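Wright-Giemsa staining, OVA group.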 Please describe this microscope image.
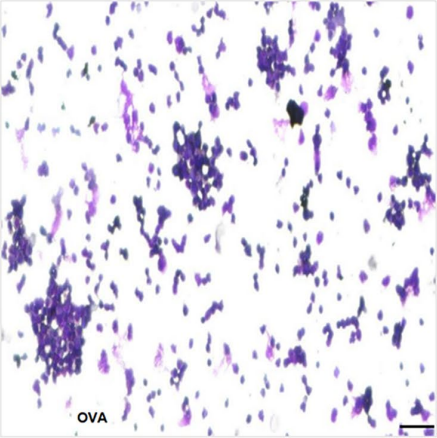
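Small round cells with dark purple to blue-violet nuclei are scattered across the whole field. Many cells gather into large, tightly packed clumps of dozens of cells. Pale pink to magenta material lies between and beside the cells.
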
